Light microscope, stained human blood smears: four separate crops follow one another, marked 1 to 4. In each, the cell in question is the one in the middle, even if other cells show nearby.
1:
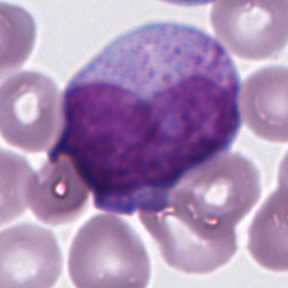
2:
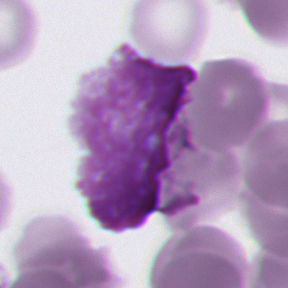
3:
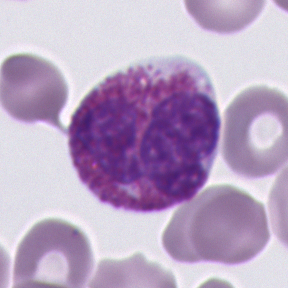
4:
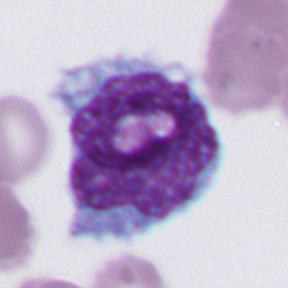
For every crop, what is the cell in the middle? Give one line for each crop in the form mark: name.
1: atypical promyelocyte
2: smudge cell
3: eosinophil
4: monocyte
